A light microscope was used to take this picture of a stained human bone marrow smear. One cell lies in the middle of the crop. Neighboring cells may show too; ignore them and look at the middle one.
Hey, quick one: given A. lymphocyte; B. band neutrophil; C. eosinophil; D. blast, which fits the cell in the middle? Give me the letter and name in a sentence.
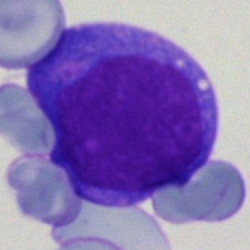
What option D states is correct, the central cell being a blast.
